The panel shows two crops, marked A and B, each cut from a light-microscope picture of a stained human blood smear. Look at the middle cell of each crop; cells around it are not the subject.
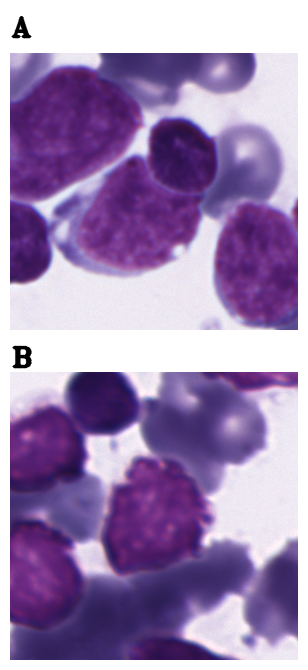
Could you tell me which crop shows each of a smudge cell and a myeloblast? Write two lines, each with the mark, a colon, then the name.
A: myeloblast
B: smudge cell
